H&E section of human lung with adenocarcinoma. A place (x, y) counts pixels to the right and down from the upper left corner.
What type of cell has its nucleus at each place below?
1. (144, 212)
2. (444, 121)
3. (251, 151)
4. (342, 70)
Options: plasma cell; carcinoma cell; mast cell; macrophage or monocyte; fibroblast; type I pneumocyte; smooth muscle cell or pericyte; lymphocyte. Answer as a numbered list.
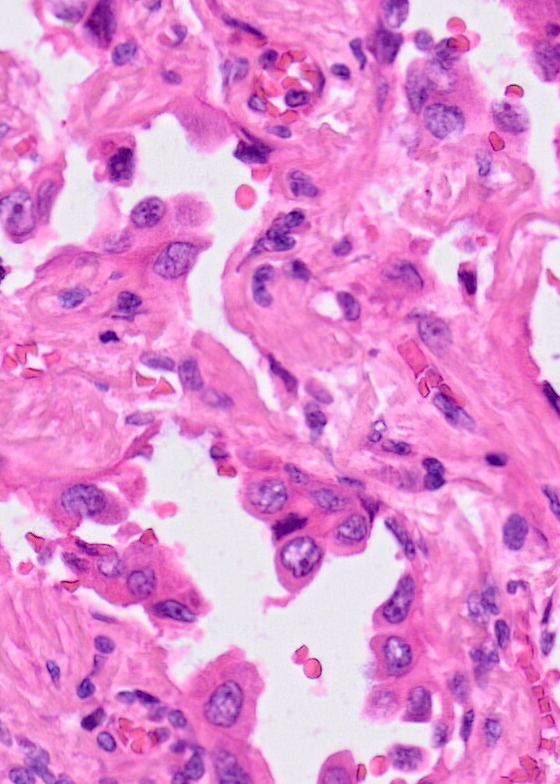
1. carcinoma cell
2. carcinoma cell
3. carcinoma cell
4. lymphocyte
